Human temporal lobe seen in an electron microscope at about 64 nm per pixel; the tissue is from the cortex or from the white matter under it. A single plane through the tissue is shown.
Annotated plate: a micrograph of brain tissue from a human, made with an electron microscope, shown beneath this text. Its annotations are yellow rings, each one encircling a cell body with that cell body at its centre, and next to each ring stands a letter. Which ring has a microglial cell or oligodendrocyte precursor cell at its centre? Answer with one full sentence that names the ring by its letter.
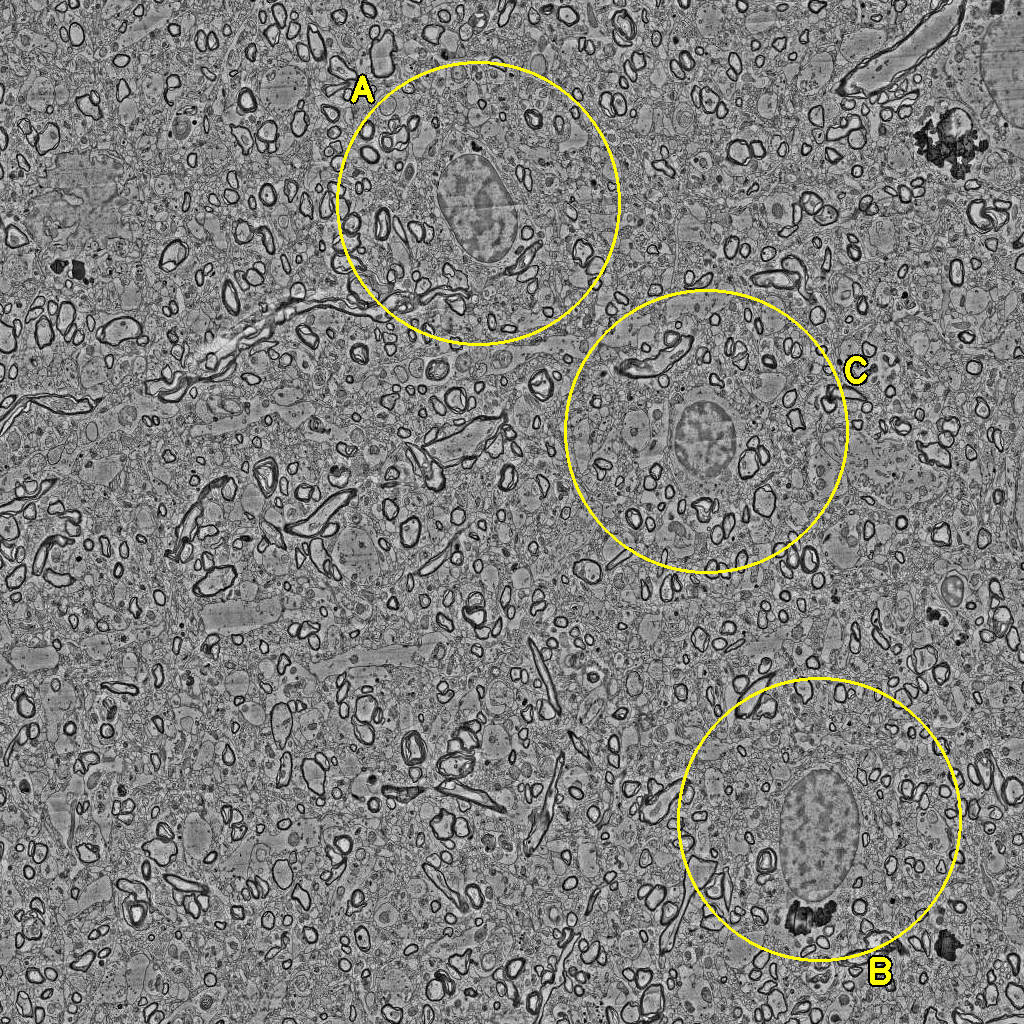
In the plate, ring A is the one centred on a cell of that kind.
